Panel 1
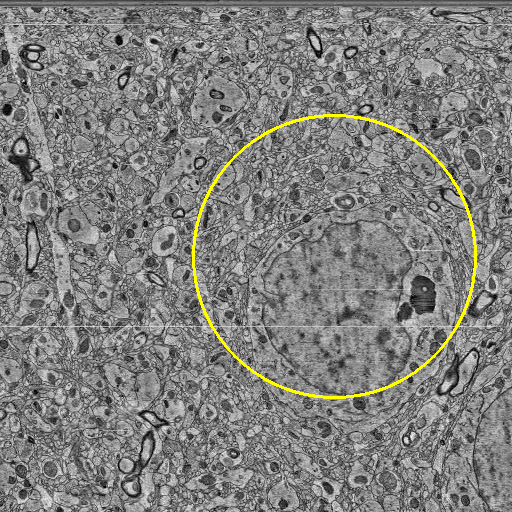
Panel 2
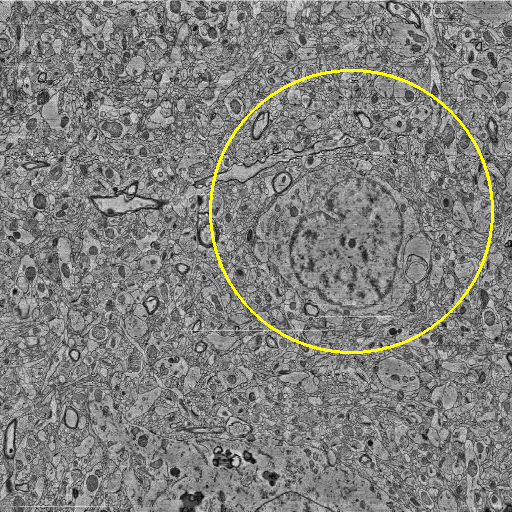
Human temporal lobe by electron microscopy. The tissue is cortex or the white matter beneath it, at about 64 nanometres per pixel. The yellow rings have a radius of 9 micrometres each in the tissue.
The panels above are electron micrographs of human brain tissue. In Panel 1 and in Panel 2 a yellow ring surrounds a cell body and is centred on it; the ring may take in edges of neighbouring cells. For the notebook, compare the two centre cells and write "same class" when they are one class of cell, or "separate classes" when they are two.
same class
